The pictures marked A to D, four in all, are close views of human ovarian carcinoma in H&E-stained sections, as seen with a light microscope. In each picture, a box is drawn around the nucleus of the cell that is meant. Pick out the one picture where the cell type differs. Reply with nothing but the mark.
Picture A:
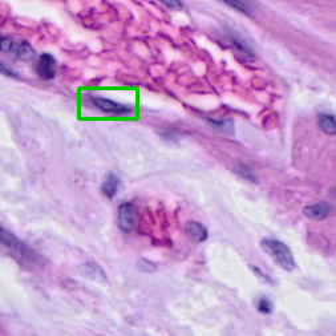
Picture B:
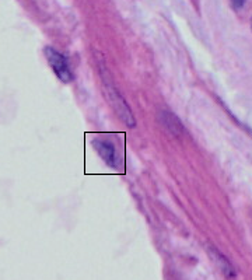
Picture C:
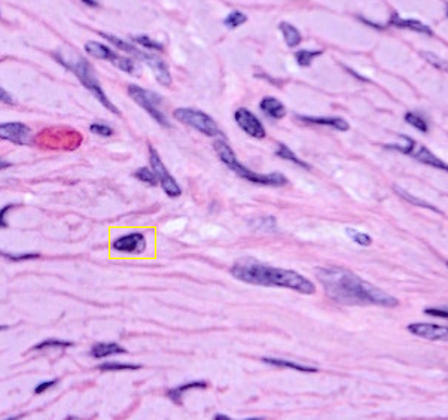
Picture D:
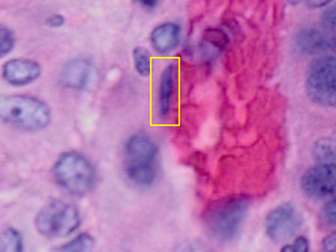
C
